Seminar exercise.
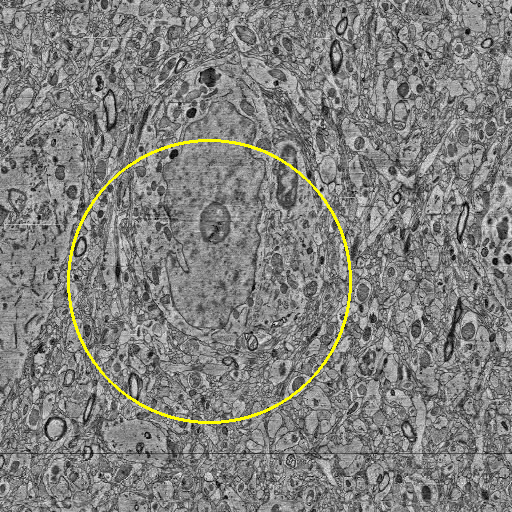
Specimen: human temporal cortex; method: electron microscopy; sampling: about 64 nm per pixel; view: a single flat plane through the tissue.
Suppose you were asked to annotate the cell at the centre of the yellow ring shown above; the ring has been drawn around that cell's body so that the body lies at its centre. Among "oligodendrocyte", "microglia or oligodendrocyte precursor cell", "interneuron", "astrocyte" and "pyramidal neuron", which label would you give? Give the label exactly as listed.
interneuron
